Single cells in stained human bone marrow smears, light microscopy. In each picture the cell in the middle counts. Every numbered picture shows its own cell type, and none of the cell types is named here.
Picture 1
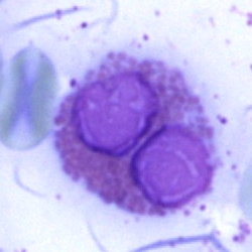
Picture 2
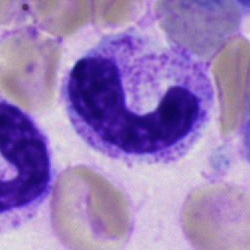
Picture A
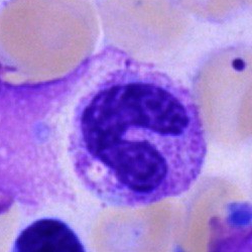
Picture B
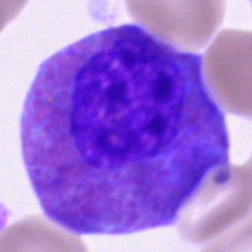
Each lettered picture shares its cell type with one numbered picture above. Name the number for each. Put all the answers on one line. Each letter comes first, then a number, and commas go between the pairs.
A 2, B 1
